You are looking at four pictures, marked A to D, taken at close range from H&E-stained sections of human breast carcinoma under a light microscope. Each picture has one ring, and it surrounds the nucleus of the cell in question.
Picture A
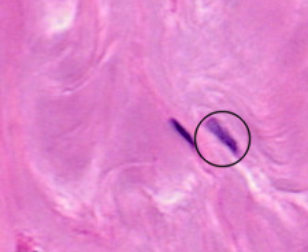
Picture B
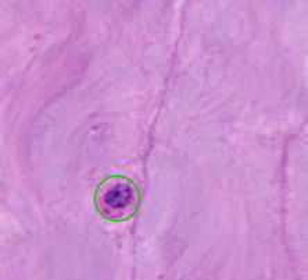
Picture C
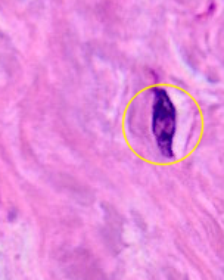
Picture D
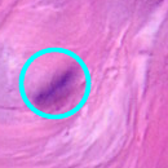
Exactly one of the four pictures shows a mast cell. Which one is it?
B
